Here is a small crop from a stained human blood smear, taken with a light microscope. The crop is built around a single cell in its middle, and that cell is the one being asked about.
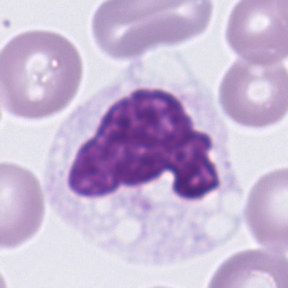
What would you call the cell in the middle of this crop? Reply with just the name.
segmented neutrophil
